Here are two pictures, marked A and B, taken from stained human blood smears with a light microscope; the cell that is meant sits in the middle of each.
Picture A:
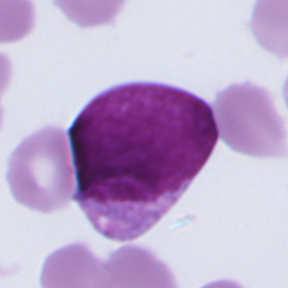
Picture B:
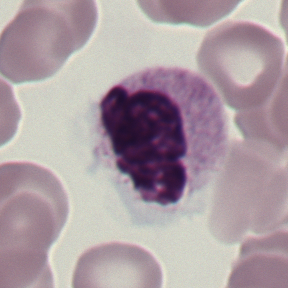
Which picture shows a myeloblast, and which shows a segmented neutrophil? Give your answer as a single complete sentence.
Picture A is of a myeloblast, and picture B is of a segmented neutrophil.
